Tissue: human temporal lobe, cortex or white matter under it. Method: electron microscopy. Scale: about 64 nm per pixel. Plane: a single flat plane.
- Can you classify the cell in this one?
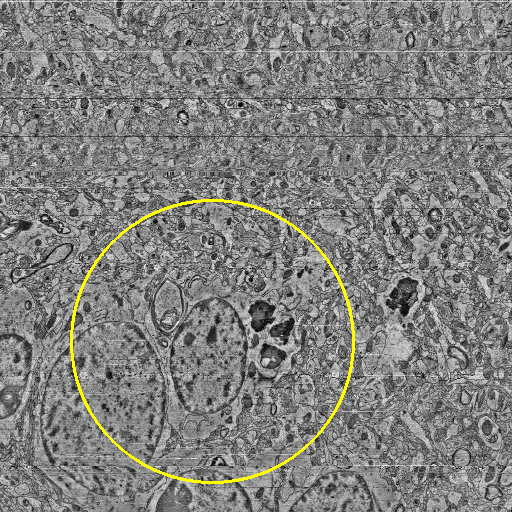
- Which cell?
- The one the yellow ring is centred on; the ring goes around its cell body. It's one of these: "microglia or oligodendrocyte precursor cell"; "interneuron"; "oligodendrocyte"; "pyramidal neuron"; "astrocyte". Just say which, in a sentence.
The cell body in the ring belongs to an astrocyte.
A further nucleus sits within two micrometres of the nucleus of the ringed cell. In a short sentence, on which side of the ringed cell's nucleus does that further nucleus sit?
That other nucleus lies to the lower left of it.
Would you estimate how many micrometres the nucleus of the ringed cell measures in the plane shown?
Roughly 8 micrometres by 5 micrometres, so the nucleus is clearly longer than it is wide in this plane.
